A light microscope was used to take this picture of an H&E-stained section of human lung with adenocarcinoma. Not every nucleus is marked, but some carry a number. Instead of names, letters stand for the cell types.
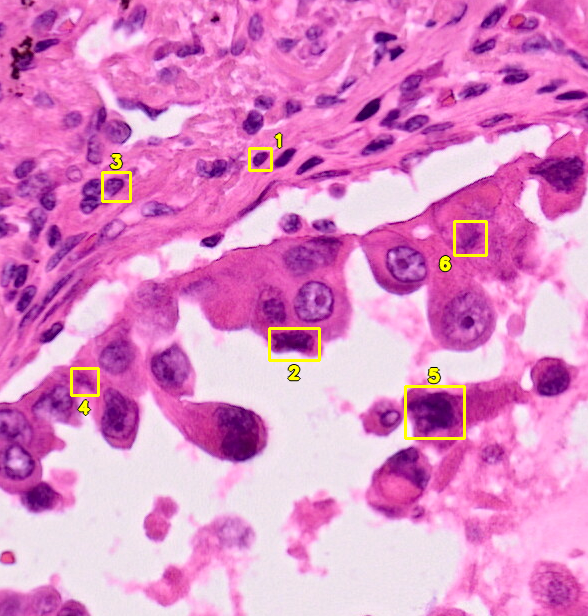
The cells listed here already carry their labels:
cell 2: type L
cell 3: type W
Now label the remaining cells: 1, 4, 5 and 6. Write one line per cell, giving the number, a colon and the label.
1: type W
4: type L
5: type L
6: type L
